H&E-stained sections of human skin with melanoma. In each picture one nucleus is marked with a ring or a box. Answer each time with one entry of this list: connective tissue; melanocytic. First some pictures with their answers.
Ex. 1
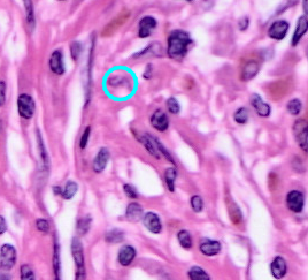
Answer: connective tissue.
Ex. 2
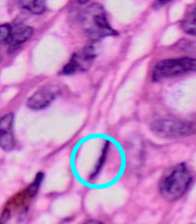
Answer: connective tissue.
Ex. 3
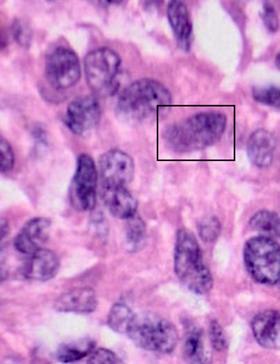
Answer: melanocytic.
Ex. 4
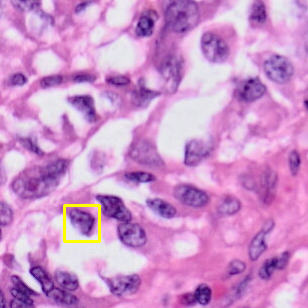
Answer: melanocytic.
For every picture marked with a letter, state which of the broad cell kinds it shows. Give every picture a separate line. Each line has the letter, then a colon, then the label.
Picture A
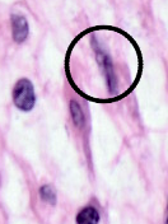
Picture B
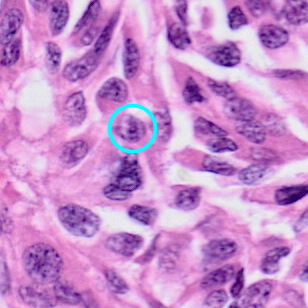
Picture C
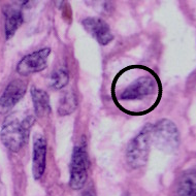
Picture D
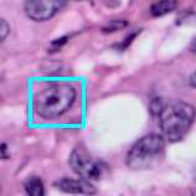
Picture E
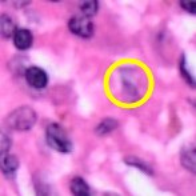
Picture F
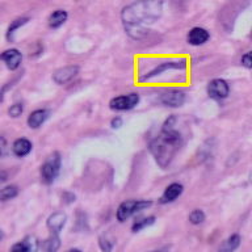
A: connective tissue.
B: melanocytic.
C: melanocytic.
D: melanocytic.
E: connective tissue.
F: connective tissue.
